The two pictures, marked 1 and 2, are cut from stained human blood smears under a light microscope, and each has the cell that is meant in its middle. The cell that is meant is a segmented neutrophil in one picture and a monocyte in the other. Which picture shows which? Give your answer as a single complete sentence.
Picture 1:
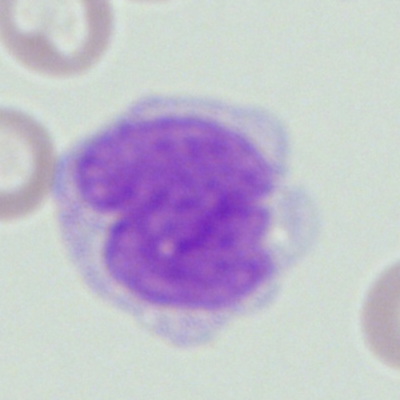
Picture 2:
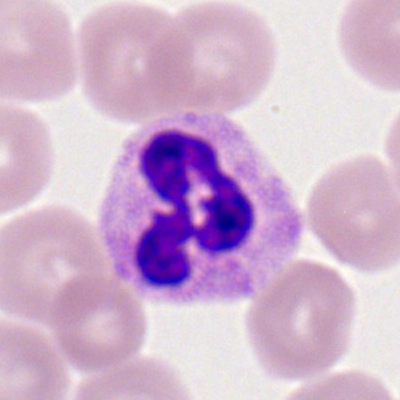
It is picture 1 that shows a monocyte, and picture 2 that shows a segmented neutrophil.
